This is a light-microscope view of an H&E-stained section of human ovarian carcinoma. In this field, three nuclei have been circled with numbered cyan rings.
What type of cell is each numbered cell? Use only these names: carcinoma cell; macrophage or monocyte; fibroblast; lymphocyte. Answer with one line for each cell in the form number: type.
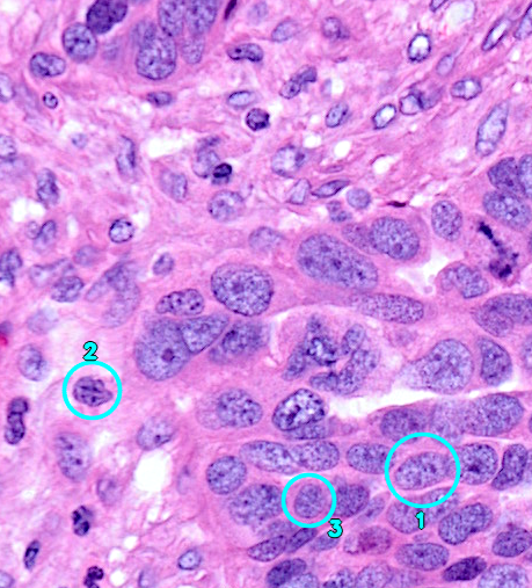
1: carcinoma cell
2: macrophage or monocyte
3: carcinoma cell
